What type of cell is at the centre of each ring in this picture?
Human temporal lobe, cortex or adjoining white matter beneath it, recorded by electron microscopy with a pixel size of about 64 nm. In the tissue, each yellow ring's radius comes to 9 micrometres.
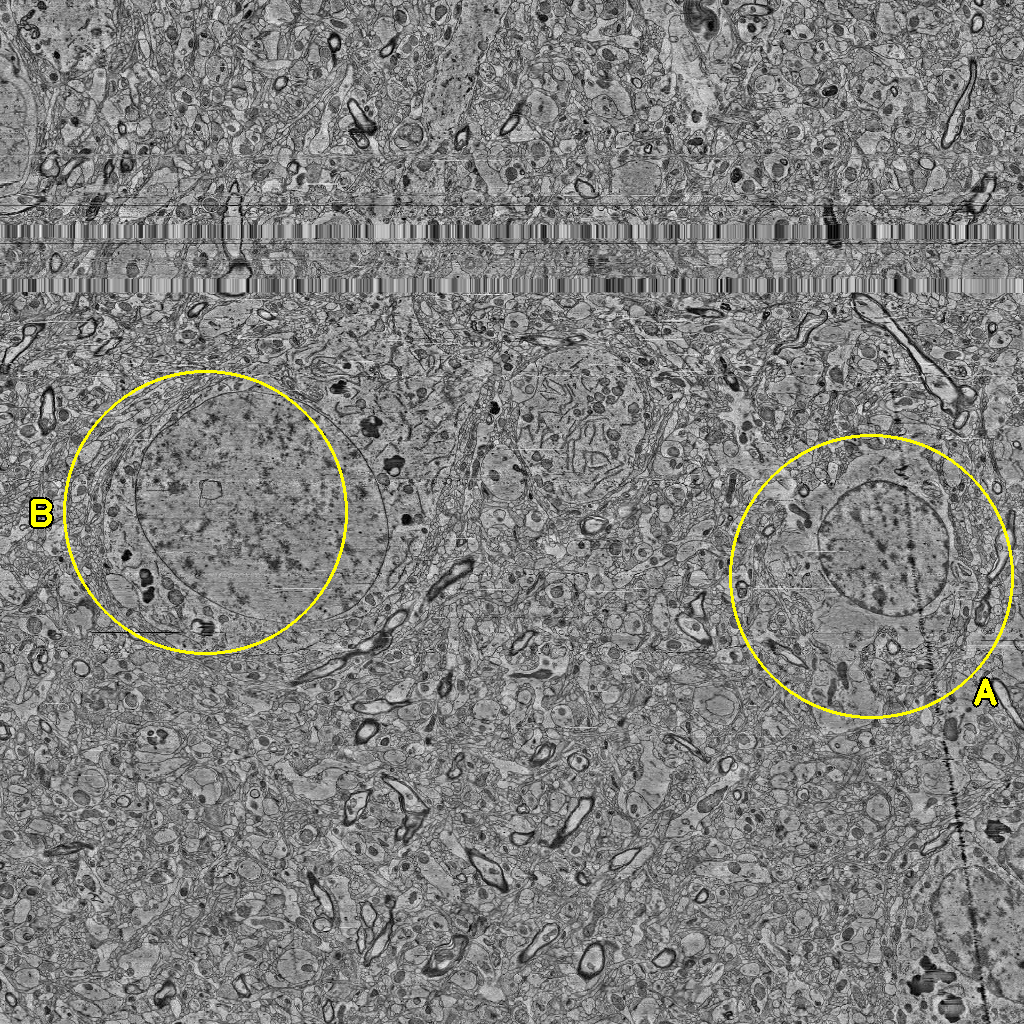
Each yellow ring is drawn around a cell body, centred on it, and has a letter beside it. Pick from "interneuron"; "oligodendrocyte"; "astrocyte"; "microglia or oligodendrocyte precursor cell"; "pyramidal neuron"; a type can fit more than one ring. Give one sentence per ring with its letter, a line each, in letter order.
The ring marked A is centred on an astrocyte.
The ring marked B is centred on a pyramidal neuron.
